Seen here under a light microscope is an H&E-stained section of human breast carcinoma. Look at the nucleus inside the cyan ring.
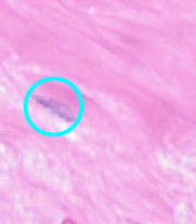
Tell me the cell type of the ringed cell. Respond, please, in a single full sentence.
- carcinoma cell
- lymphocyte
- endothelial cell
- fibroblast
As a matter of cell type, the ringed cell is a fibroblast.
